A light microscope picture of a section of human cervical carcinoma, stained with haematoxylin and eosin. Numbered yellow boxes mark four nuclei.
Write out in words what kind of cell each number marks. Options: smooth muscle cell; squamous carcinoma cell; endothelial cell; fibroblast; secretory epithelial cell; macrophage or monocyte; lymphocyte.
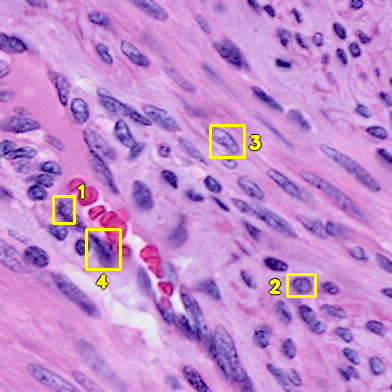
Cell 1 is an endothelial cell, cell 2 is a smooth muscle cell, cell 3 is a smooth muscle cell and cell 4 is an endothelial cell.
